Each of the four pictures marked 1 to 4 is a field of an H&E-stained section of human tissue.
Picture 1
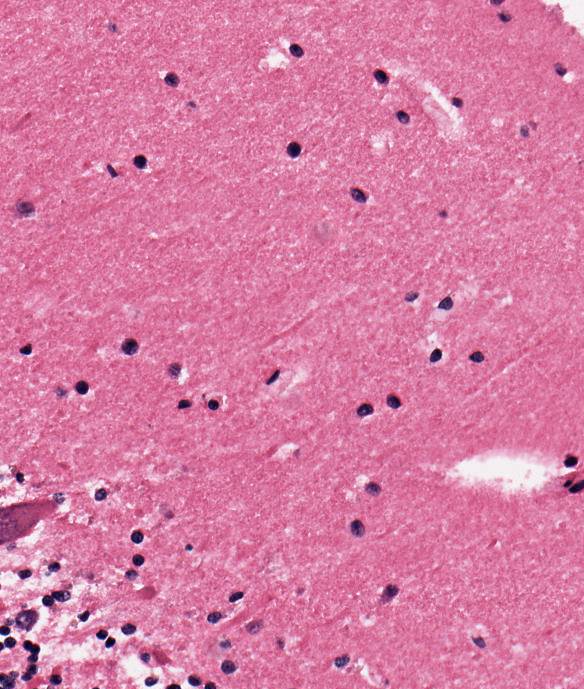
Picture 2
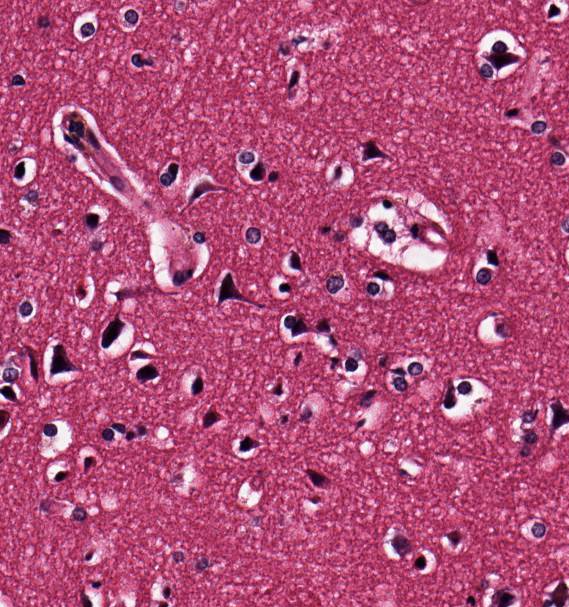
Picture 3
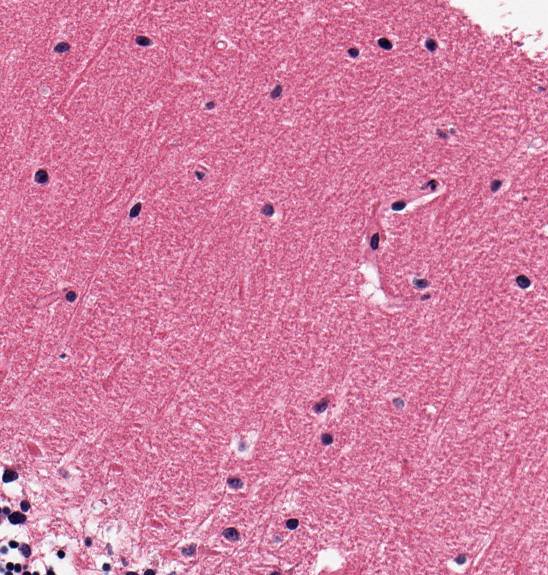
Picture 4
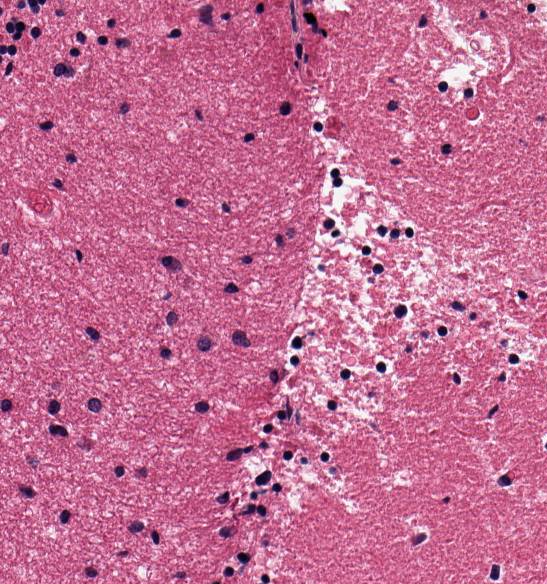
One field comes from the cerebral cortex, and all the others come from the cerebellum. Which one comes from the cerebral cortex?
2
